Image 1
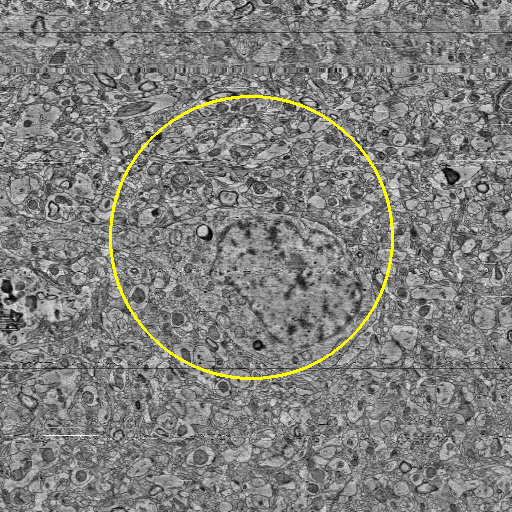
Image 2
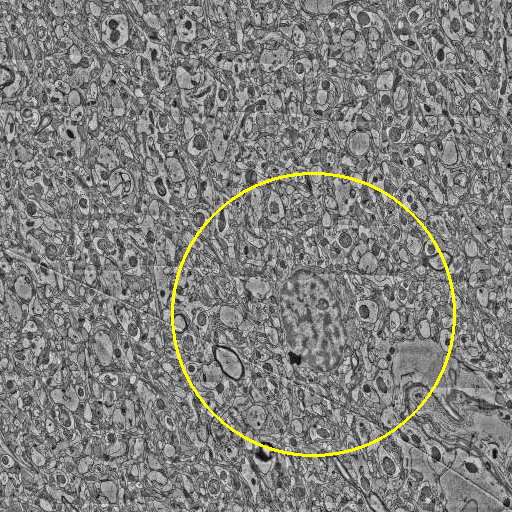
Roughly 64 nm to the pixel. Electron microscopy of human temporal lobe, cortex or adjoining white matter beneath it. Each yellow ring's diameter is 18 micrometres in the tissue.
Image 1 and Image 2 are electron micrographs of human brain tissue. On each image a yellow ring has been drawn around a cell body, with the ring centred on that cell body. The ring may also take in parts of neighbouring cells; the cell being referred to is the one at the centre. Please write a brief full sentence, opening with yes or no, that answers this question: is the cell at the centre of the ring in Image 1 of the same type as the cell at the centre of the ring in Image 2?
No, the two cells are of two types.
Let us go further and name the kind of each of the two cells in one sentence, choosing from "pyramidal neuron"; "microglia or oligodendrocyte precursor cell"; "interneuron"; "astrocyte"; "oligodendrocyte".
The ring of the first picture is on an interneuron, the ring of the second on an oligodendrocyte.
